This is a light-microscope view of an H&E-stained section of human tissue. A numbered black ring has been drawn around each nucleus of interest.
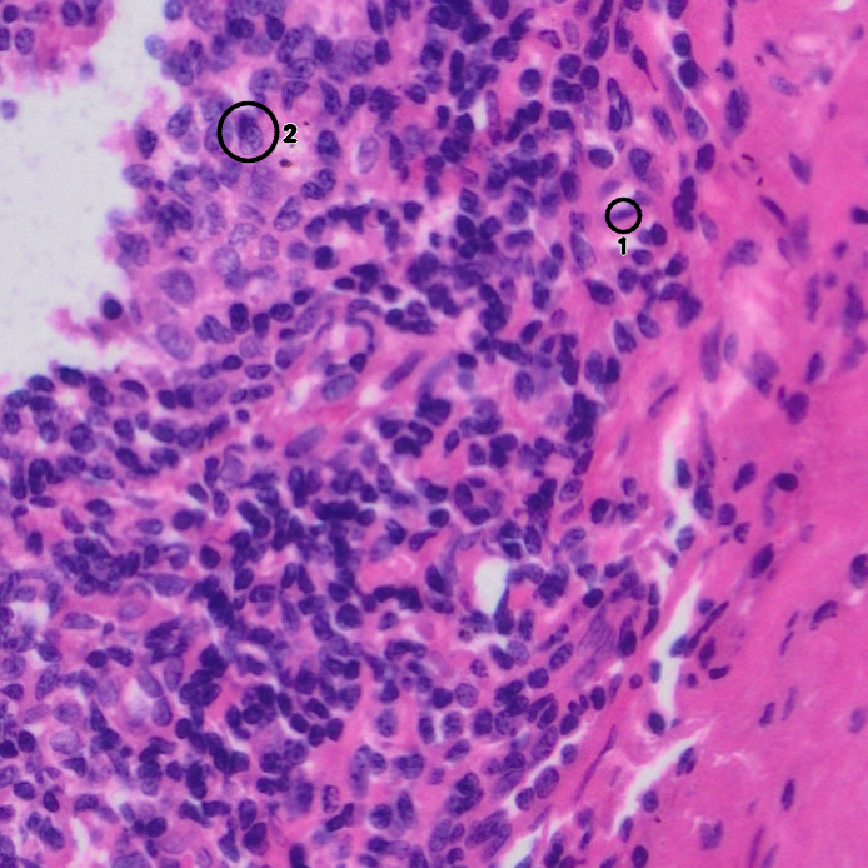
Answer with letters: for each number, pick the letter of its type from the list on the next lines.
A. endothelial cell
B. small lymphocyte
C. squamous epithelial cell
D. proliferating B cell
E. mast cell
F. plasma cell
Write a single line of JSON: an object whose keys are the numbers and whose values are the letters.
{"1": "A", "2": "D"}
